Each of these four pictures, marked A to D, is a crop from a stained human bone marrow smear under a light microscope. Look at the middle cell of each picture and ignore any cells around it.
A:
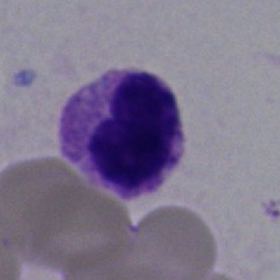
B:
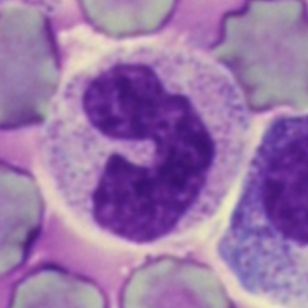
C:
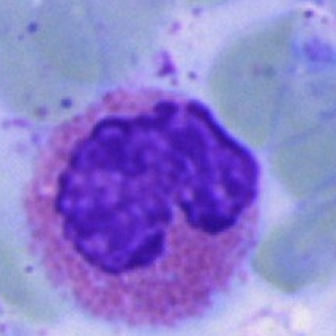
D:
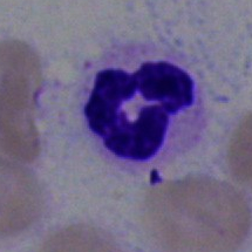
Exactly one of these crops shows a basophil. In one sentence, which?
The cell identified as a basophil is the one in crop A.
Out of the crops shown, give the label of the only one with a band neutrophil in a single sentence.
Crop B is the crop featuring a band neutrophil at its center.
